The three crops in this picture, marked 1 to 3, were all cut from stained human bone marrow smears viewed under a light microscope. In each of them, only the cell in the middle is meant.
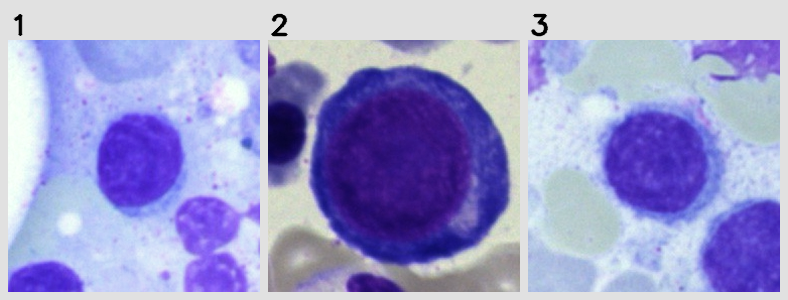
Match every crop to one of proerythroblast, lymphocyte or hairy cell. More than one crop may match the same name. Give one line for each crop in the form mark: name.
1: lymphocyte
2: proerythroblast
3: hairy cell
